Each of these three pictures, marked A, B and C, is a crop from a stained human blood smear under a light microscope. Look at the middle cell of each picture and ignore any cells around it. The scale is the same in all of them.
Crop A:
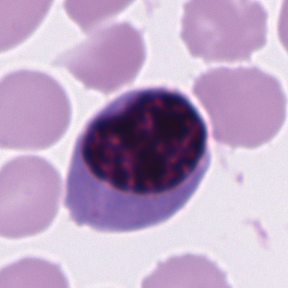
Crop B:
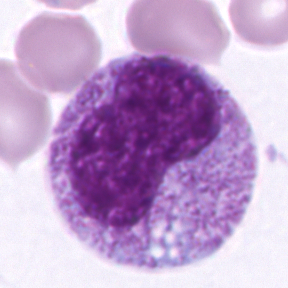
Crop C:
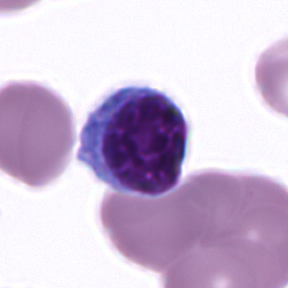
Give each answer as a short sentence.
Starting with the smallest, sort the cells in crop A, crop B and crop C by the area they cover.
The order is C, A, B, beginning with the smallest.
